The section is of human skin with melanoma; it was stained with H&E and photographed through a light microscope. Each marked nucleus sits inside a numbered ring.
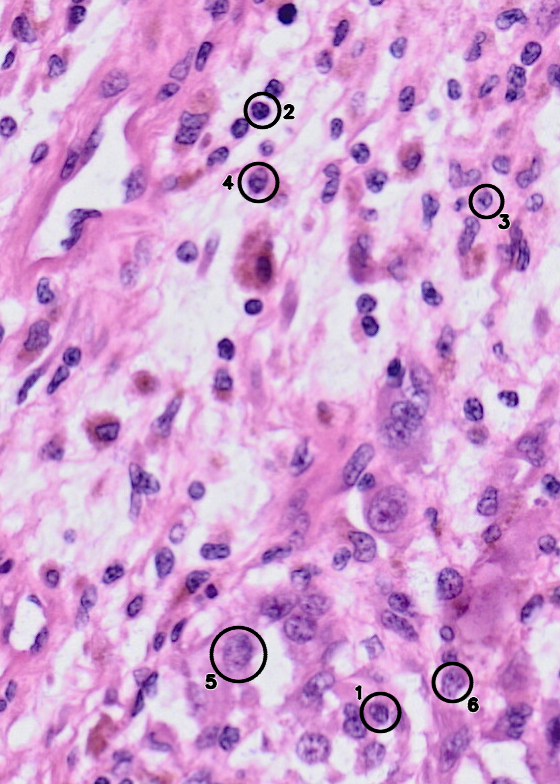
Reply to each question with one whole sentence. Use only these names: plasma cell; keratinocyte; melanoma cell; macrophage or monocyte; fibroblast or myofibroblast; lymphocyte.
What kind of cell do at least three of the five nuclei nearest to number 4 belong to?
Around number 4, most of the five nearest nuclei are those of lymphocytes.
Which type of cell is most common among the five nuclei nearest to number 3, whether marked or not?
Around number 3, most of the five nearest nuclei are those of macrophages or monocytes.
